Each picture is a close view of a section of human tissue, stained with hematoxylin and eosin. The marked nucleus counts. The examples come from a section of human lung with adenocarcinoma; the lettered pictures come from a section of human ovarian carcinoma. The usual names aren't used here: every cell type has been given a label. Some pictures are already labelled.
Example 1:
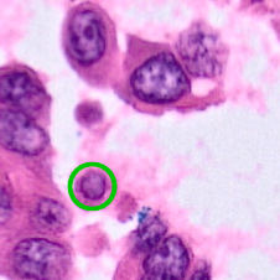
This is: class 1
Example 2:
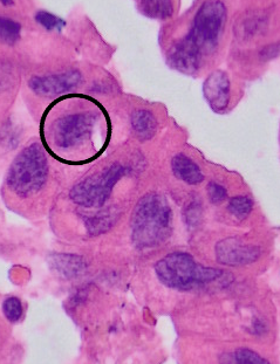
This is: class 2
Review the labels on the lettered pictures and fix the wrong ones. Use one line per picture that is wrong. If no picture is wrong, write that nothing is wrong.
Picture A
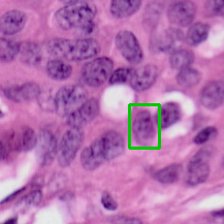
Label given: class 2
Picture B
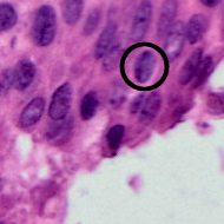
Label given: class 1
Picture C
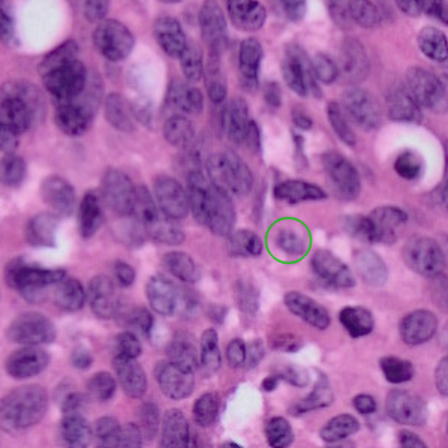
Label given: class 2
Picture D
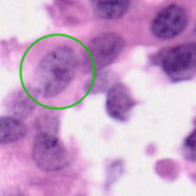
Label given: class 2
C: change class 2 to class 1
